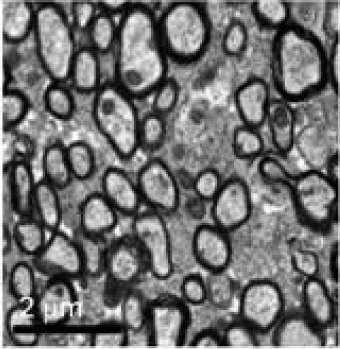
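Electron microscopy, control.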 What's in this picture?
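Electron micrograph of white matter cut in cross section, showing densely packed axons of varied diameter. Most axons have pale, finely textured interiors and are each wrapped by a dark, electron-dense myelin sheath of fairly uniform thickness, with small unmyelinated profiles and glial processes filling the spaces between them.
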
